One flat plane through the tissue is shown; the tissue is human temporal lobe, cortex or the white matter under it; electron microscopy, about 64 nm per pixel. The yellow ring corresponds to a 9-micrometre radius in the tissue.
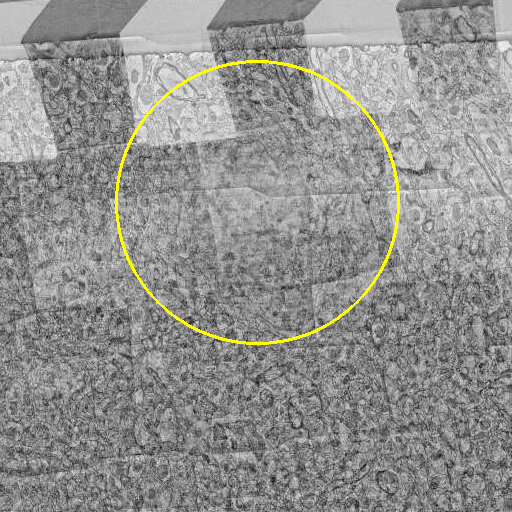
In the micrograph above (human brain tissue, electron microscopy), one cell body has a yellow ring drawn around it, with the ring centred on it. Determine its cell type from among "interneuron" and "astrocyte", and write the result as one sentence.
The cell whose body is ringed is an interneuron.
